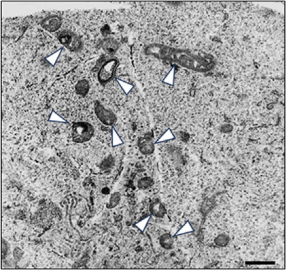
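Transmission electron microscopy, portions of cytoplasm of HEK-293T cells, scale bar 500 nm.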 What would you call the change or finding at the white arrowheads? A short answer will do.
Mitochondria with strong signs of damage.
